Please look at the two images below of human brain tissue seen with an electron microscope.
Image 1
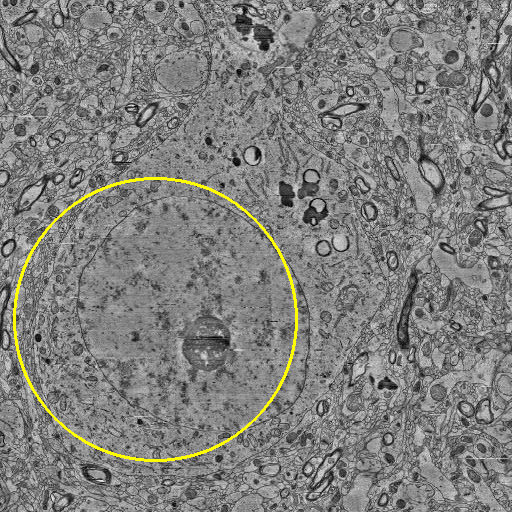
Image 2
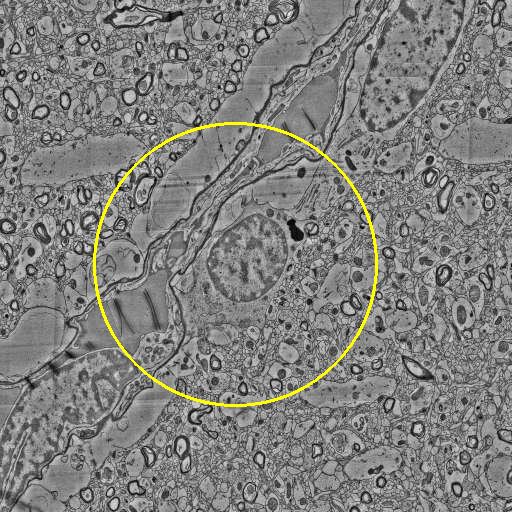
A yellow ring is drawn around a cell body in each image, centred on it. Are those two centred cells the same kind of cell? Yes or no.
no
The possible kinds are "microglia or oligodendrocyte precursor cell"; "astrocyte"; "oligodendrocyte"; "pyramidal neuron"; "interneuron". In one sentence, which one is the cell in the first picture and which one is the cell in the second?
The cell ringed in the second picture is an oligodendrocyte, whereas the one ringed in the first is a pyramidal neuron.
